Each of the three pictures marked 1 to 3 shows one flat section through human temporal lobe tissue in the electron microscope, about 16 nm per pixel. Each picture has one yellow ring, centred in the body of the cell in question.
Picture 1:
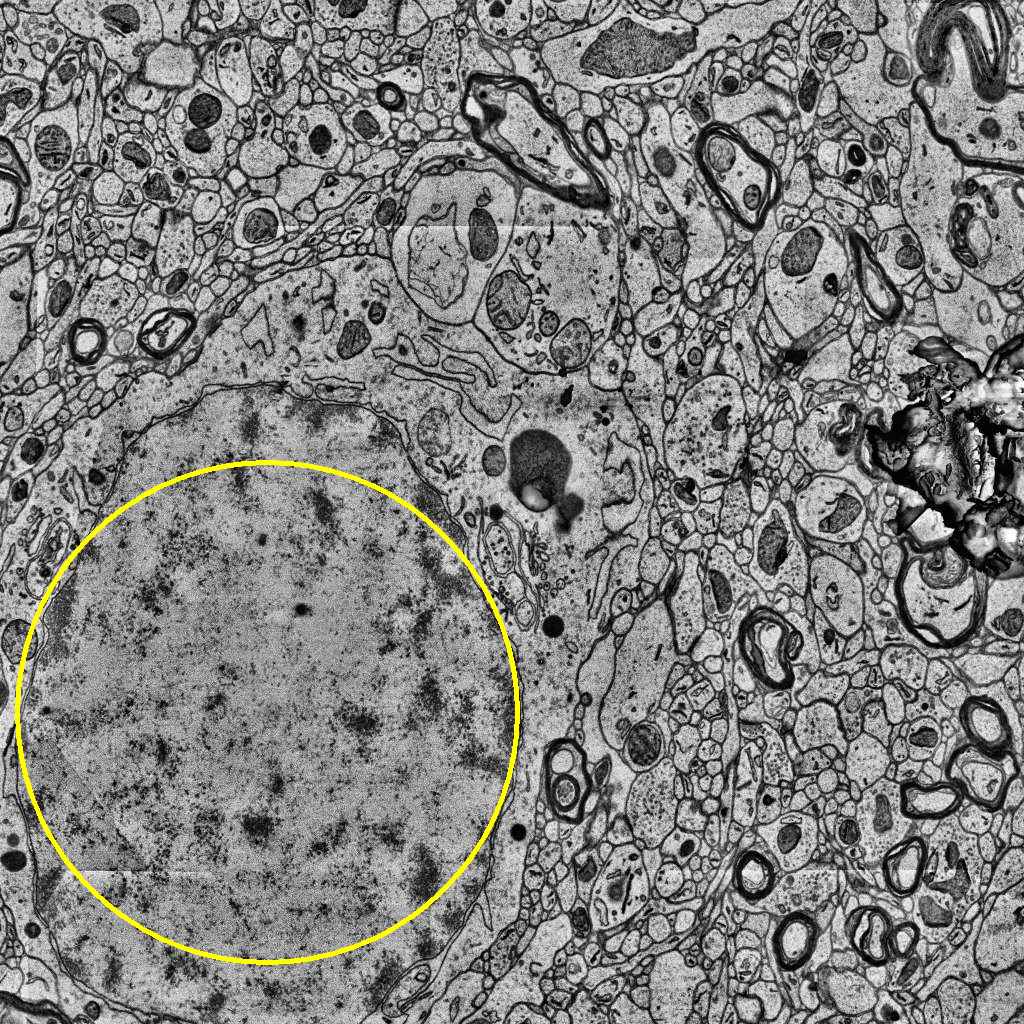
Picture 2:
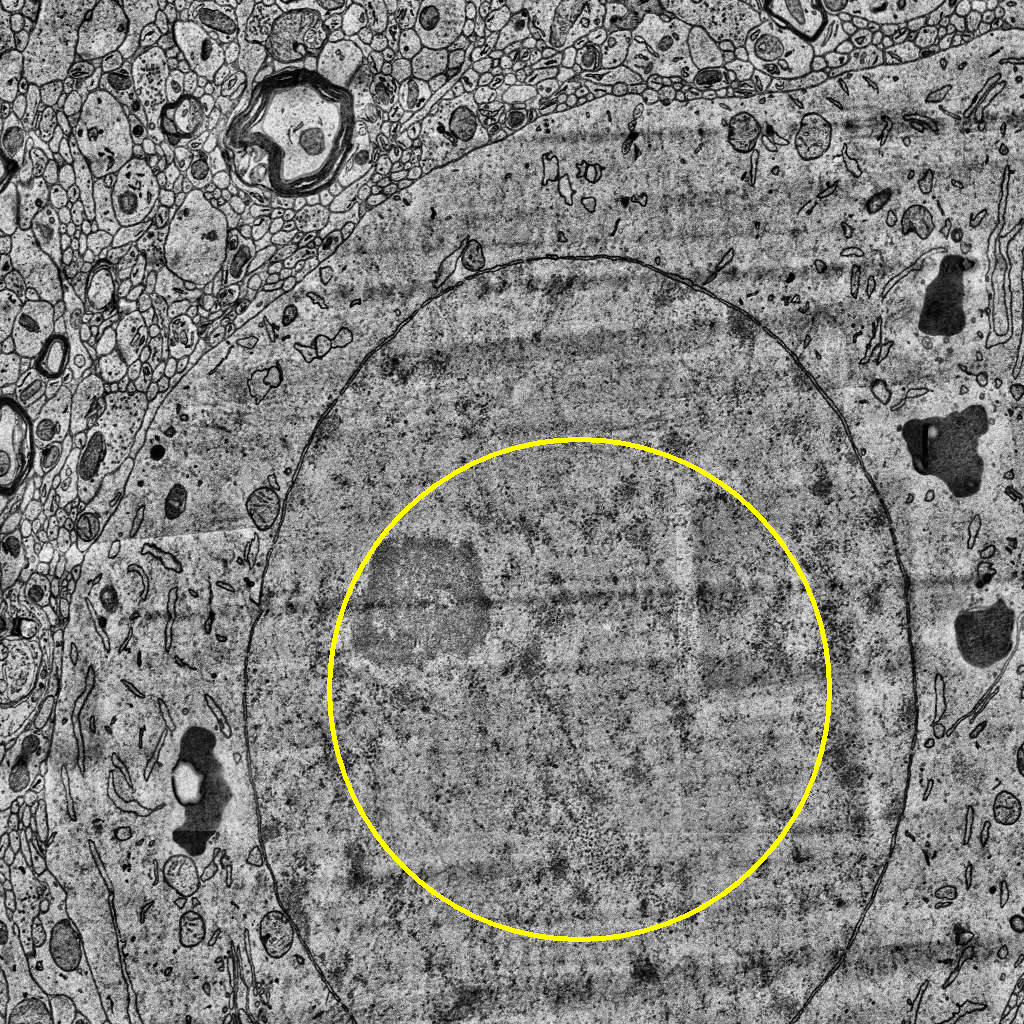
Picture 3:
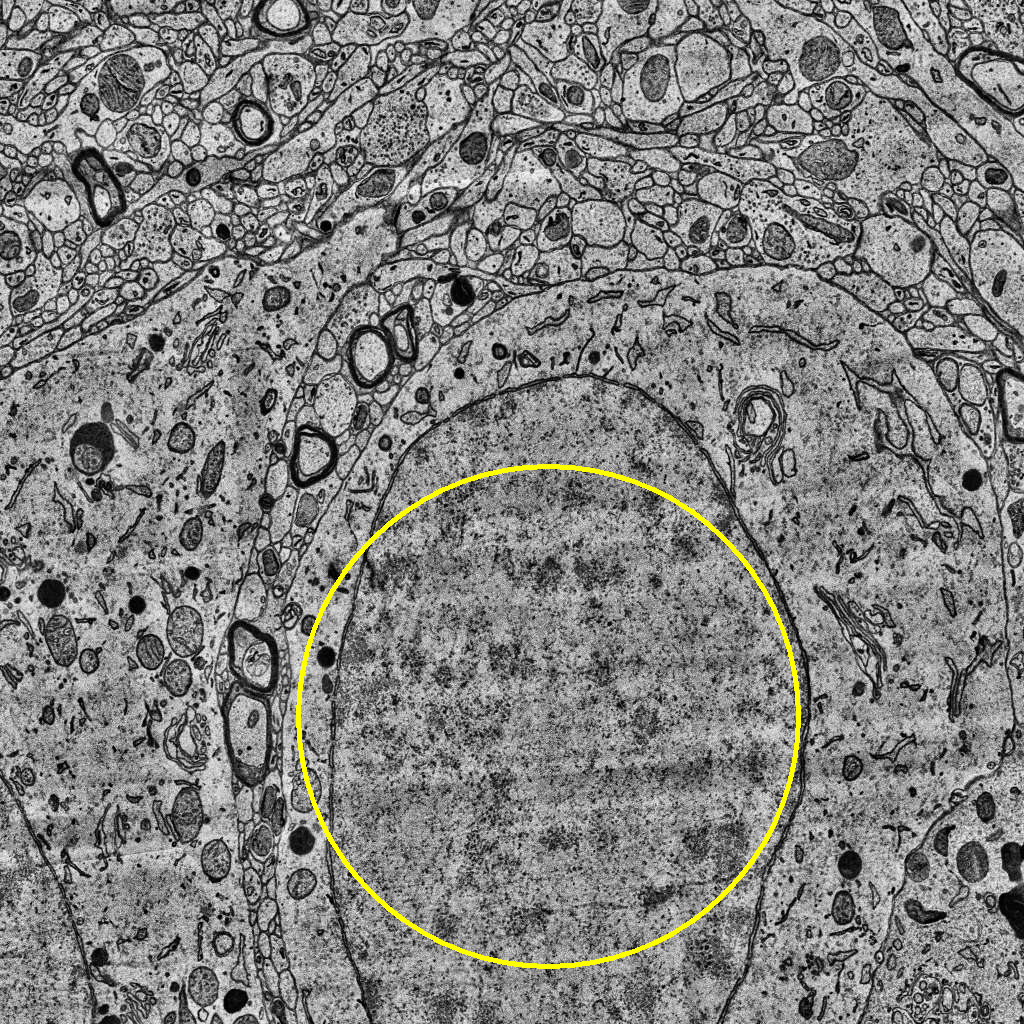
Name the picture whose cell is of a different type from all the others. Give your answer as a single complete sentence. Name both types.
All pictures except 1 show pyramidal neurons; picture 1 shows an interneuron.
